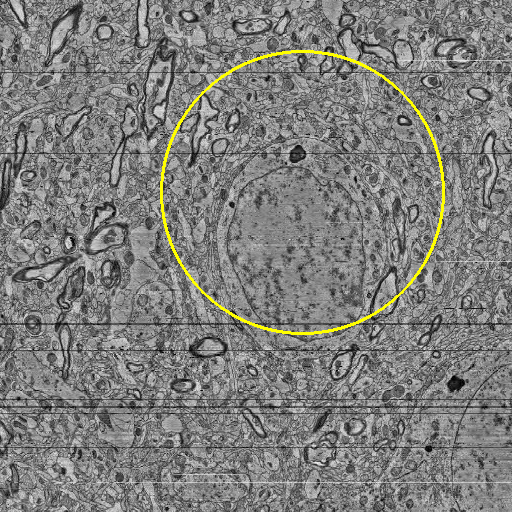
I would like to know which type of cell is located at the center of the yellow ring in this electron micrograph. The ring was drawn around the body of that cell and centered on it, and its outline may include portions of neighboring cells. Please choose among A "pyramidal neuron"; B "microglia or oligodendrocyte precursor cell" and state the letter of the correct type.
A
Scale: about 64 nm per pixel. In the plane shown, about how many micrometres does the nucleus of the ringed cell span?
About 12 by 10 micrometres in this plane.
